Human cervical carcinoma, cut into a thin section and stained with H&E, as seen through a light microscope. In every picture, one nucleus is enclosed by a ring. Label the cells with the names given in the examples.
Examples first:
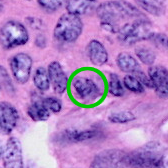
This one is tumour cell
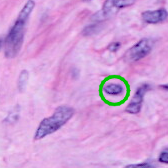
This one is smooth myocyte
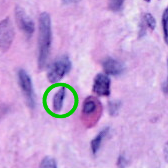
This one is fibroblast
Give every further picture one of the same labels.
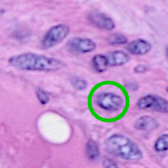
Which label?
smooth myocyte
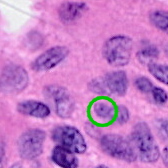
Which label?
tumour cell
